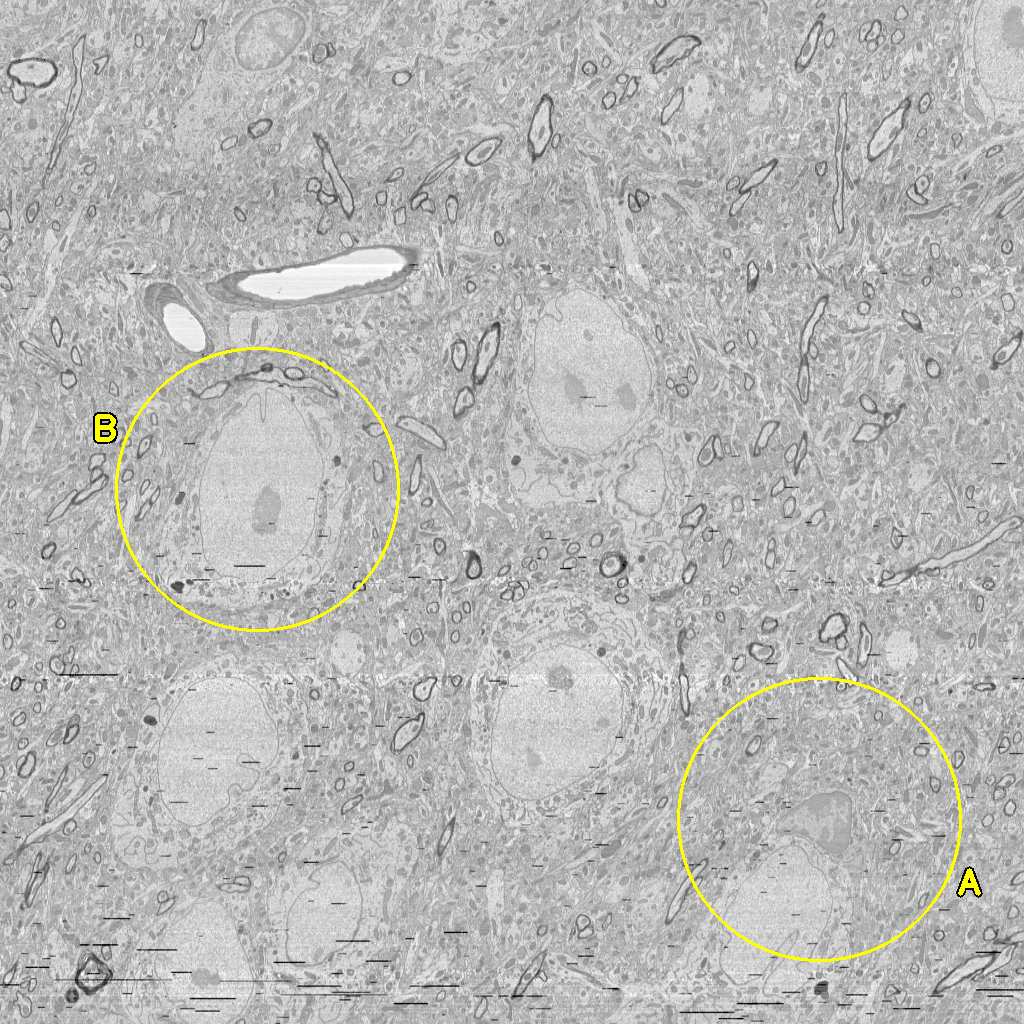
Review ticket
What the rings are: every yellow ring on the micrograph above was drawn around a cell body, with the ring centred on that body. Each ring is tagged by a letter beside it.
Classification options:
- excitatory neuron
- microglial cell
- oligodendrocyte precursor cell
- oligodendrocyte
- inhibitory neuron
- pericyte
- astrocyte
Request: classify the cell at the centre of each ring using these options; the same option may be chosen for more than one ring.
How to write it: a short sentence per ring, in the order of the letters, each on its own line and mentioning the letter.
The cell centred in ring A is a microglial cell.
The cell centred in ring B is an excitatory neuron.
